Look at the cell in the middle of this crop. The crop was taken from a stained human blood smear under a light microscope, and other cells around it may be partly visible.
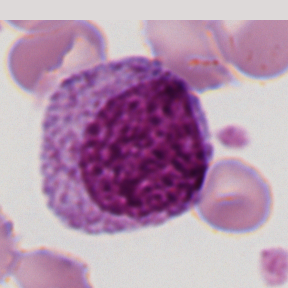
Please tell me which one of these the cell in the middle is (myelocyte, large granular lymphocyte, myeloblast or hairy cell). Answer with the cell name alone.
myelocyte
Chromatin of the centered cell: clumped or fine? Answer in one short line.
Take a look at the chromatin, which is coarsely clumped.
